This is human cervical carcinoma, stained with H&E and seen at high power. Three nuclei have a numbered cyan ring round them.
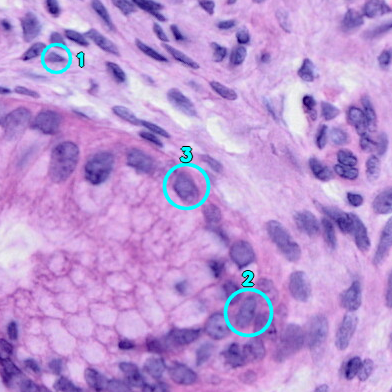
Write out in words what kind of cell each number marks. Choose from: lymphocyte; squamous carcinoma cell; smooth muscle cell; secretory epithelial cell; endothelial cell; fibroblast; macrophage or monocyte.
Cell 1 is a fibroblast, cell 2 is a secretory epithelial cell and cell 3 is a secretory epithelial cell.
